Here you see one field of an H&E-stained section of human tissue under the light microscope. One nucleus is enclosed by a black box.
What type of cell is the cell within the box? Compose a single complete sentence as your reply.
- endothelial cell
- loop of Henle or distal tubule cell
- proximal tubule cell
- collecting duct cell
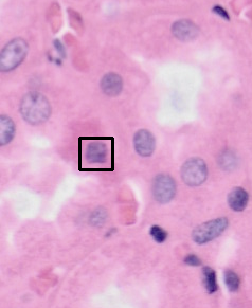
It is a proximal tubule cell that the cell within the box represents.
